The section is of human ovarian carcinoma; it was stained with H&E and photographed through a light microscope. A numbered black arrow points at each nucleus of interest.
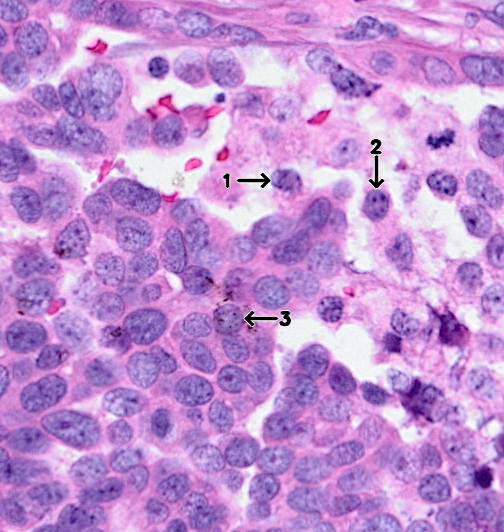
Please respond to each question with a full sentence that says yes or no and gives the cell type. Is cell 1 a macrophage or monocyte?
Yes, correct, the cell with the number 1 is a macrophage or monocyte.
